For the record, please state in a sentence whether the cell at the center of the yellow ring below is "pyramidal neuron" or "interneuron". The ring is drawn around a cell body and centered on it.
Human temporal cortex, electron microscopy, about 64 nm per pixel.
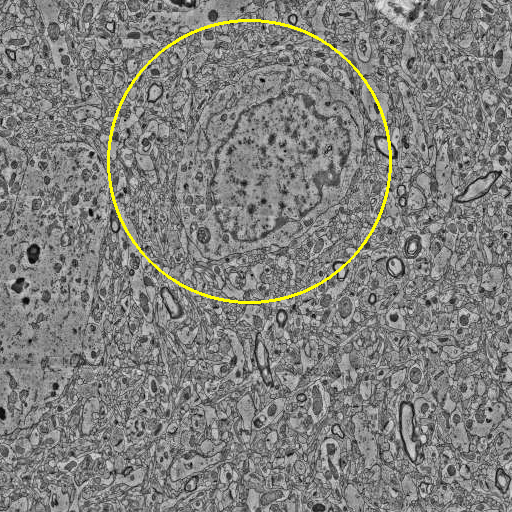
The cell at the ring's center is an interneuron.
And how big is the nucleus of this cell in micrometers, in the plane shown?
In this plane the nucleus is about 10 micrometres by 8.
